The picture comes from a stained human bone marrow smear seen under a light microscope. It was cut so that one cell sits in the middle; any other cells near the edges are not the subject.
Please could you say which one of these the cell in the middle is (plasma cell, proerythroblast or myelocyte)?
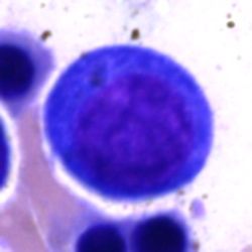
proerythroblast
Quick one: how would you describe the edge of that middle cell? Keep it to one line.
There are no projections here; the outline is simply smooth.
